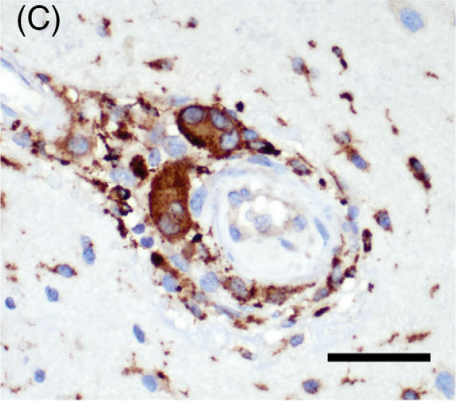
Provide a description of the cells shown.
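Giant cells and smaller inflammatory cells cluster around a small blood vessel in brain tissue. Two very large cells with abundant brown-stained cytoplasm sit against the vessel wall, one holding several blue nuclei. Many smaller brown, irregular cells with granular staining surround the vessel and extend into the adjacent tissue. The vessel wall itself is pale and unstained, with flattened blue nuclei. In the surrounding pale parenchyma, scattered small elongated brown cells with short processes are seen among unstained blue nuclei.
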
